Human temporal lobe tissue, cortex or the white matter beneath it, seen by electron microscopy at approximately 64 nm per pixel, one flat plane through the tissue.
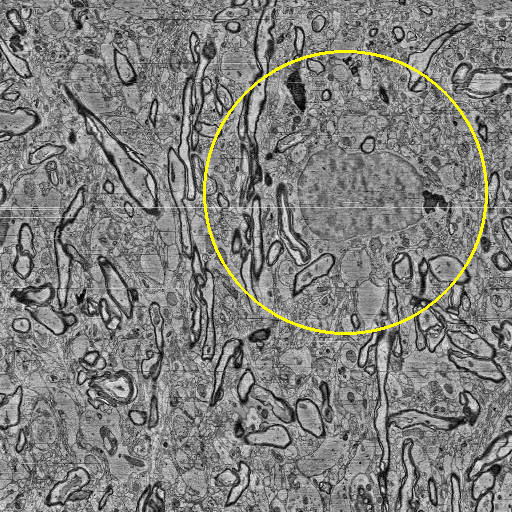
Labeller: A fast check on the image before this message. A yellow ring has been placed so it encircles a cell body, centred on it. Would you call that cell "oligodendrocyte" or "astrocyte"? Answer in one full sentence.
In this image, an oligodendrocyte is the cell on which the yellow ring is centred.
